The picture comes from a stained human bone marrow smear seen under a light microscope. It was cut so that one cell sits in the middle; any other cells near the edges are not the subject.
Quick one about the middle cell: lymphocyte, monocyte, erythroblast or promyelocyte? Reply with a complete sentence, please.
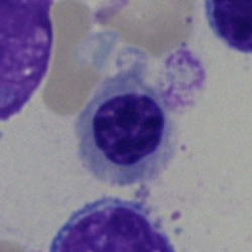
Standing at the centre of this crop is an erythroblast.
